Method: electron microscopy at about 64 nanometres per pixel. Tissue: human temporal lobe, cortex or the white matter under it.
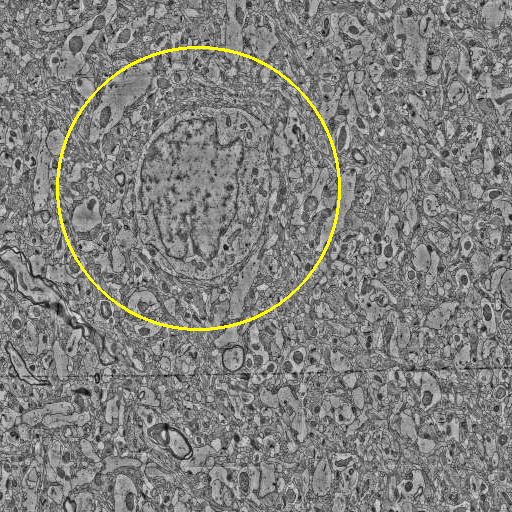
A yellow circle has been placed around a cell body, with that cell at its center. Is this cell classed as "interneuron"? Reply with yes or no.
Yes, it belongs to that class.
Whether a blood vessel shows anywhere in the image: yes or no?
No, a blood vessel is absent from this picture.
